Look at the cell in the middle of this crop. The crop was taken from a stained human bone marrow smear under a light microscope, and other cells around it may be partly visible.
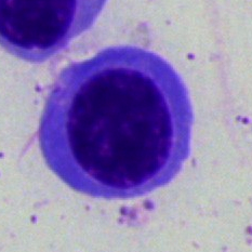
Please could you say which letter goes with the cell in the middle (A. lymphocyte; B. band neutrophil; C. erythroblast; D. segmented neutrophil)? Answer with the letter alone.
C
